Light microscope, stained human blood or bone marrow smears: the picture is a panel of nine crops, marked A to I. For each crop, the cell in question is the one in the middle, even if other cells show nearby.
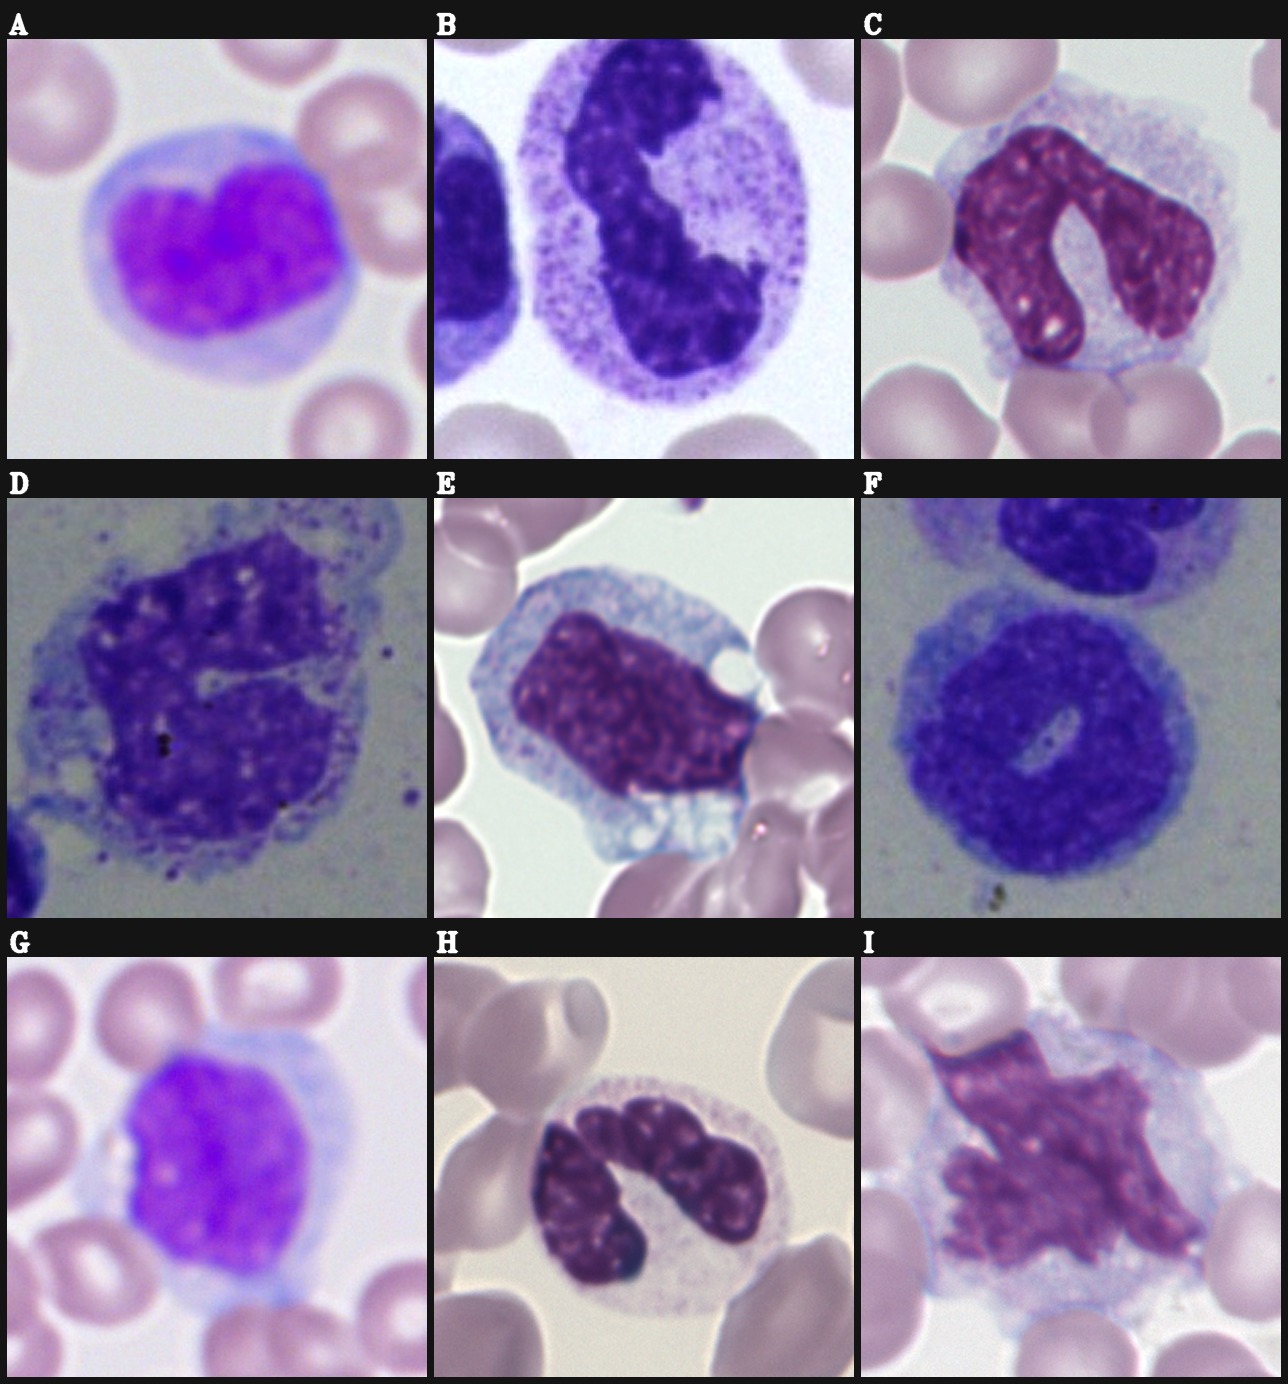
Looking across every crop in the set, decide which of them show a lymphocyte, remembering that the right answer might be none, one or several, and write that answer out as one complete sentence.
Depicted in none of the crops is a lymphocyte.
